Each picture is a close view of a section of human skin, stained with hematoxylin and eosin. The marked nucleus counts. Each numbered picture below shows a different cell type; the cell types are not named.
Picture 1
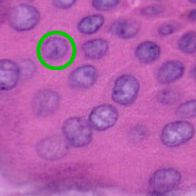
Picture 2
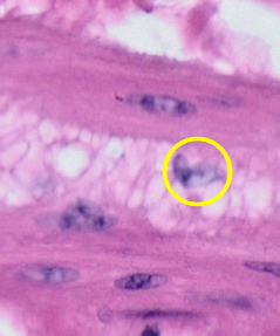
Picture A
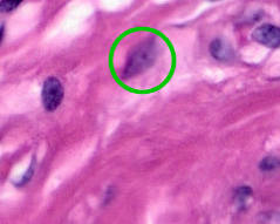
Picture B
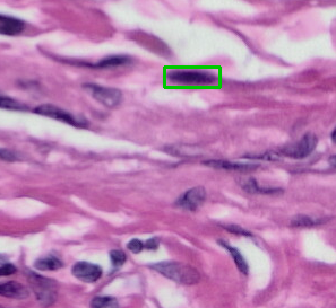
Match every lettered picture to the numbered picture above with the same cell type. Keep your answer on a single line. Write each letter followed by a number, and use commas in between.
A 2, B 2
